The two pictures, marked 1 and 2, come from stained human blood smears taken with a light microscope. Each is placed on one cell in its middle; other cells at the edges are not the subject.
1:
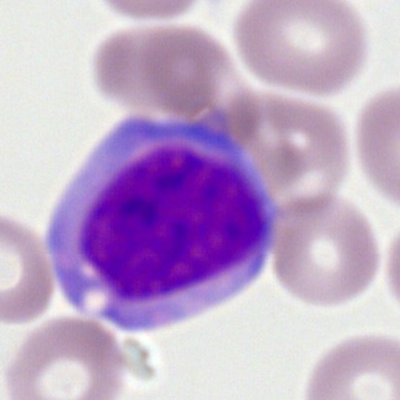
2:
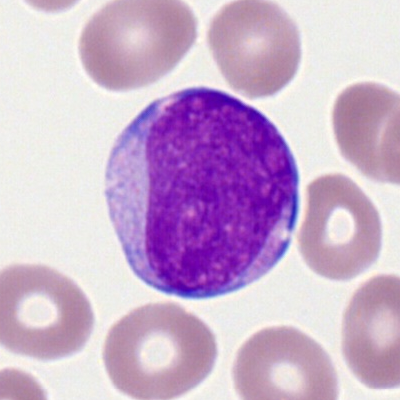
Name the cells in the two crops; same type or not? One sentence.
Yes, both crops show myeloblasts as the central cells.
